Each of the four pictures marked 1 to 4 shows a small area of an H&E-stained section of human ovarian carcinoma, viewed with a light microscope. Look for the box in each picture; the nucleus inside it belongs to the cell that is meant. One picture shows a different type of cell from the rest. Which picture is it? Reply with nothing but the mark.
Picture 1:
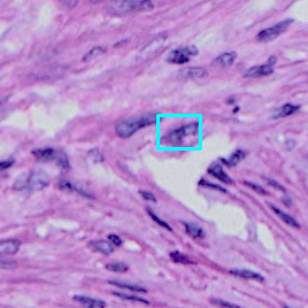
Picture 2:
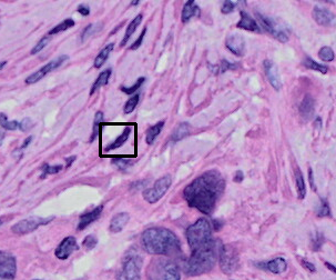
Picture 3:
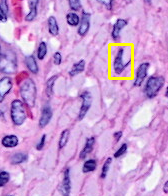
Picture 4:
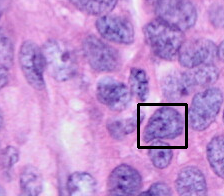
4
